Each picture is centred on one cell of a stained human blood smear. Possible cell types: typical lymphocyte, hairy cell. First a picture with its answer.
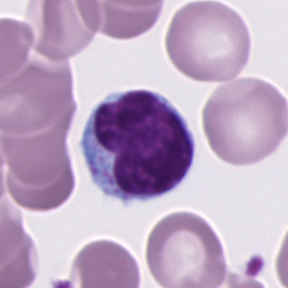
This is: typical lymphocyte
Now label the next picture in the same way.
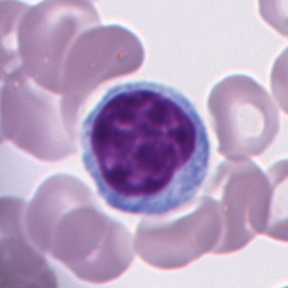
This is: typical lymphocyte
